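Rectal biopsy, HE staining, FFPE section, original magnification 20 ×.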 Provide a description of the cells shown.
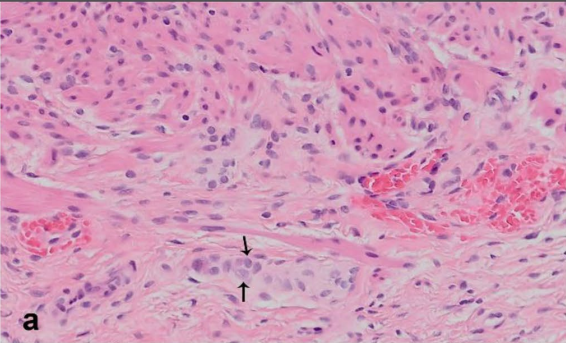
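Several thin-walled blood vessels packed with bright red blood cells cross the middle of the field. In the lower half, two small arrows mark a cluster of cells whose nuclei are rounder and paler than those of the surrounding spindle cells, with more cytoplasm around them.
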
